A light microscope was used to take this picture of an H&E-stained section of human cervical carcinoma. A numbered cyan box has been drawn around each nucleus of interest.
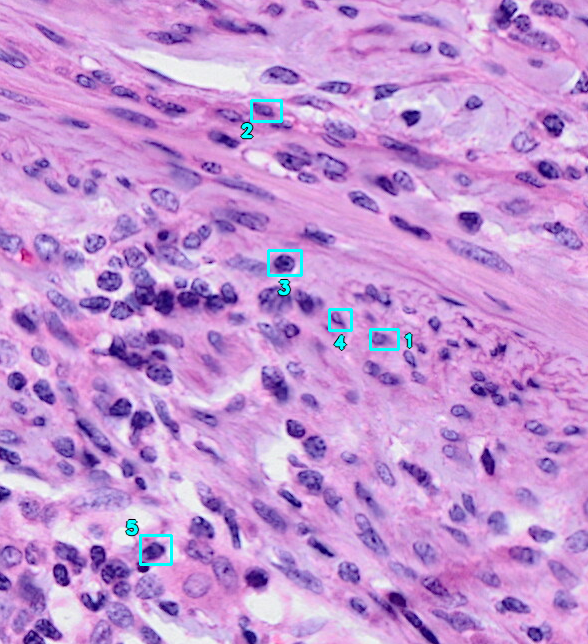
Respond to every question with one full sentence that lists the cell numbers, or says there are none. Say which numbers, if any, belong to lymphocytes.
The numbers 3 and 5 refer to cells that are lymphocytes.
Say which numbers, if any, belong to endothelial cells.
Cell 2 is an endothelial cell, and that holds for no other numbered cell.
